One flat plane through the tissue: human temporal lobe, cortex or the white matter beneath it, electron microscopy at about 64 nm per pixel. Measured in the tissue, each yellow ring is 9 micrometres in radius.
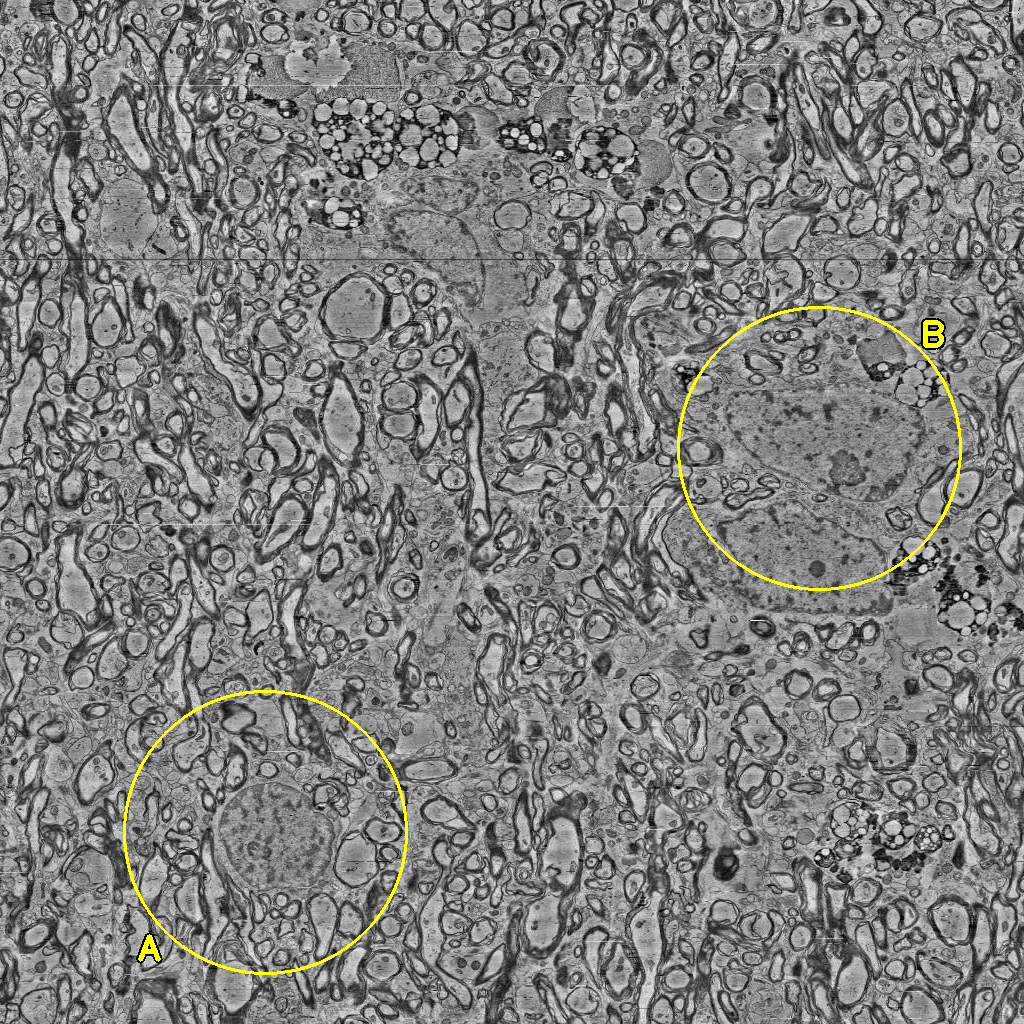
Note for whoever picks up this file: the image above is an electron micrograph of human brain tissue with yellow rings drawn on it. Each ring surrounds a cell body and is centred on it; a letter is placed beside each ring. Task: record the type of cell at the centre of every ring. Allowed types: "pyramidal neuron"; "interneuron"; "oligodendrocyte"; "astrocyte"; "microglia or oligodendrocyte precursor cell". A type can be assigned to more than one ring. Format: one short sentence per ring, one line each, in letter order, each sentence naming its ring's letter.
The ring marked A is centred on an oligodendrocyte.
The ring marked B is centred on an astrocyte.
